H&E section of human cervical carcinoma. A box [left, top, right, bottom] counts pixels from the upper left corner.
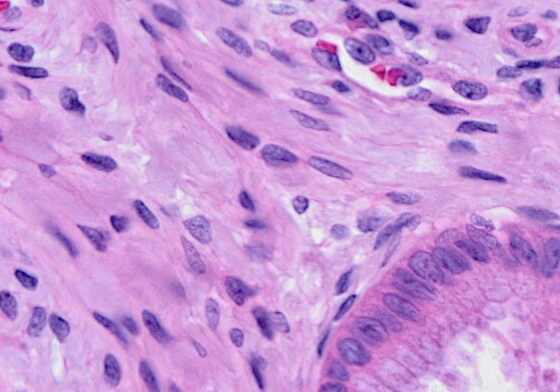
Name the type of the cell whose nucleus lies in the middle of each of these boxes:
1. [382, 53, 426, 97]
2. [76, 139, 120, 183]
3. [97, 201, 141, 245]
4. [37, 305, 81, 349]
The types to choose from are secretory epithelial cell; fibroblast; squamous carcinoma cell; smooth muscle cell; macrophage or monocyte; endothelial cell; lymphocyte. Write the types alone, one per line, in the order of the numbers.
endothelial cell
fibroblast
fibroblast
fibroblast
